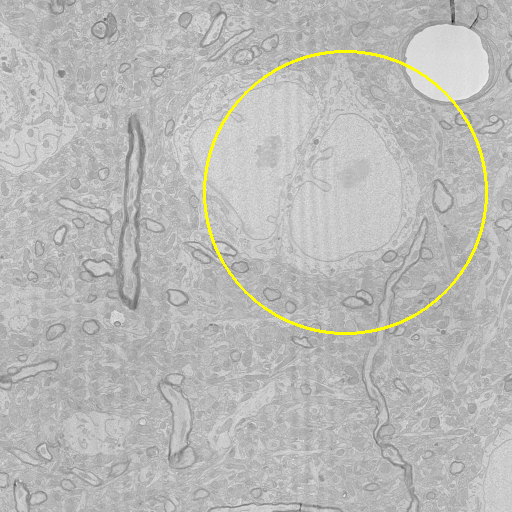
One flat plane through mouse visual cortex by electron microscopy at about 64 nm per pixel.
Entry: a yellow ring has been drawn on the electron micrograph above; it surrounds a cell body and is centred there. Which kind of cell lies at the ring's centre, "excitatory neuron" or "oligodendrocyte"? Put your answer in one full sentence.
The cell sitting at the ring's centre is an excitatory neuron in the micrograph above.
